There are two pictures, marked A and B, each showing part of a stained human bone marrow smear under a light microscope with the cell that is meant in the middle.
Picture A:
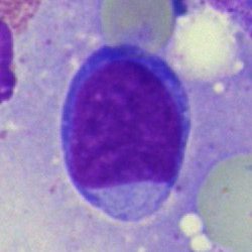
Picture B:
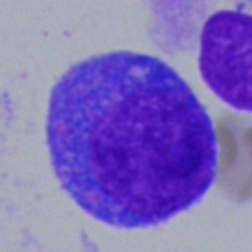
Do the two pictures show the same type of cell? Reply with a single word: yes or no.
no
